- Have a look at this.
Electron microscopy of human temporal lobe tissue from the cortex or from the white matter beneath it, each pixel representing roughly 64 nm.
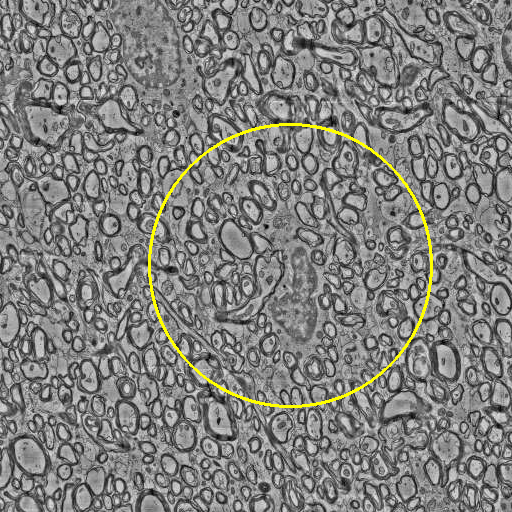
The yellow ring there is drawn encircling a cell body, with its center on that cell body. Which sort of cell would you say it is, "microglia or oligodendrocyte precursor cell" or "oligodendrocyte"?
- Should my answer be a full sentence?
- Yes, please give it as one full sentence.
For this picture, an oligodendrocyte is the cell where the yellow ring has its center.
